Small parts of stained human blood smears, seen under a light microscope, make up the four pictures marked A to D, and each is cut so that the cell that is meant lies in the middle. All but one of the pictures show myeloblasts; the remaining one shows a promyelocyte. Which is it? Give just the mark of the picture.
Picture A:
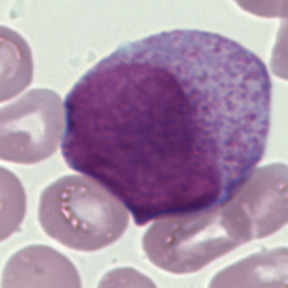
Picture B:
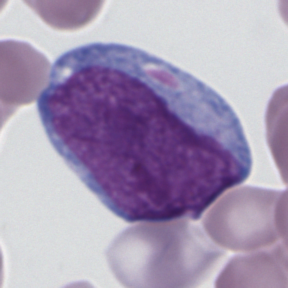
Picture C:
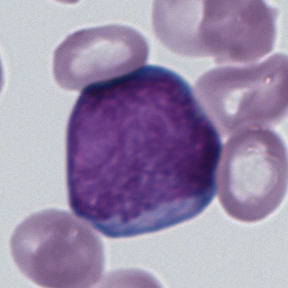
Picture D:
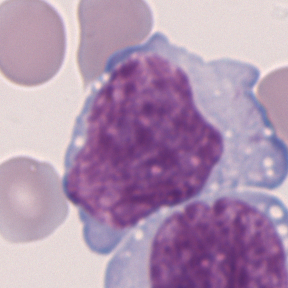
A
